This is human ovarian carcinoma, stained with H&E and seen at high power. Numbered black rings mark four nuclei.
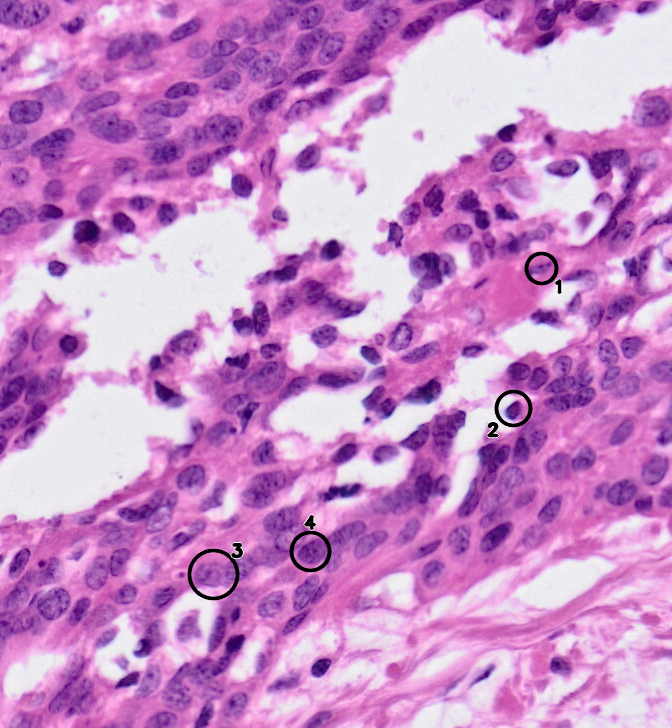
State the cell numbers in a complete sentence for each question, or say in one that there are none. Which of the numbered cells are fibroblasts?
As regards the numbered cells, fibroblasts are not represented.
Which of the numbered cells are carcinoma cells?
In short, the numbered cells 2, 3 and 4 are carcinoma cells.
